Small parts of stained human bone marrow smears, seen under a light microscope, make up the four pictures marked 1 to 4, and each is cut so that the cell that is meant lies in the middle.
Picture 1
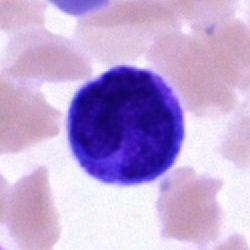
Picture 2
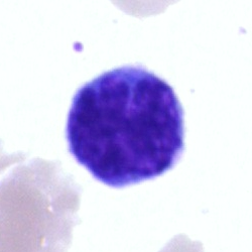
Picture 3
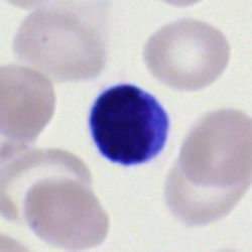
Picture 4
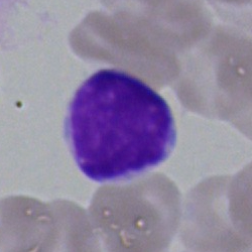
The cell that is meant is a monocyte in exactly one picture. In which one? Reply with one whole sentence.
The picture with the monocyte is 1.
